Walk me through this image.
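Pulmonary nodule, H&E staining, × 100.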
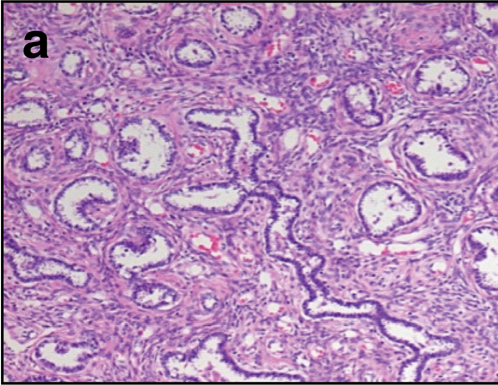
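This section shows numerous glands set in a cellular spindle-cell stroma. The glands vary in size and shape, some round and others elongated, folded and branching, with open, pale lumens. Each gland is lined by a single row of cuboidal to columnar cells with dark purple nuclei.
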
